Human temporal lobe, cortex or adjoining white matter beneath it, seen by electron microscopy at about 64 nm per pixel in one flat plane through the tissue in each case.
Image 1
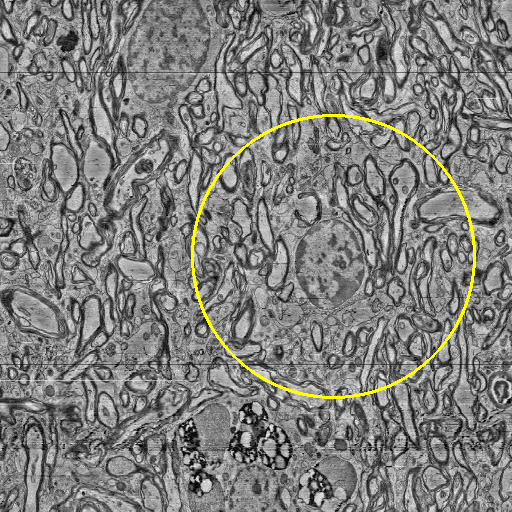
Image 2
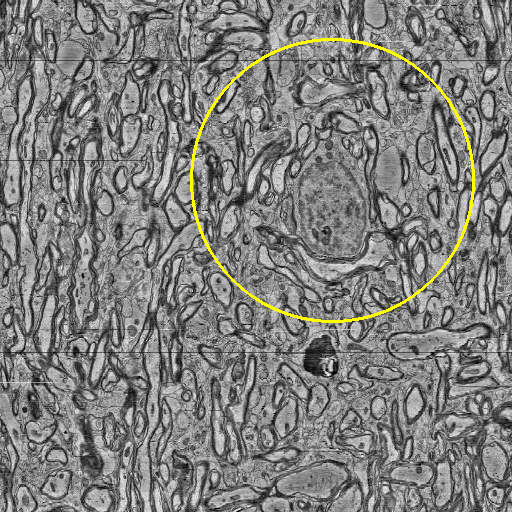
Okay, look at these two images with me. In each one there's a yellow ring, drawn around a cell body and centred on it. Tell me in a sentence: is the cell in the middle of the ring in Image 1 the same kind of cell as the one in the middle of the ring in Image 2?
No, they're two kinds of cell.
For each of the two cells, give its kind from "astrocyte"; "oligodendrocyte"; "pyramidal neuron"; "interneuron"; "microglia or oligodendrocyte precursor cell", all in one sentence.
The first picture has a microglial cell or oligodendrocyte precursor cell in its ring, the second has an oligodendrocyte.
